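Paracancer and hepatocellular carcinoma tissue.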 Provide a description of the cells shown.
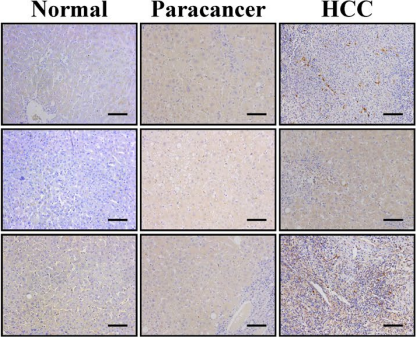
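In the left column the tissue is fairly even and pale, with plates of liver cells and very little brown. The middle column has a faint brown tint across the tissue. In the right column the brown is clearly stronger, appearing as scattered brown cells and streaks in the top row and as a dense, patchy brown pattern in the bottom row, where the regular plate arrangement is less clear.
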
